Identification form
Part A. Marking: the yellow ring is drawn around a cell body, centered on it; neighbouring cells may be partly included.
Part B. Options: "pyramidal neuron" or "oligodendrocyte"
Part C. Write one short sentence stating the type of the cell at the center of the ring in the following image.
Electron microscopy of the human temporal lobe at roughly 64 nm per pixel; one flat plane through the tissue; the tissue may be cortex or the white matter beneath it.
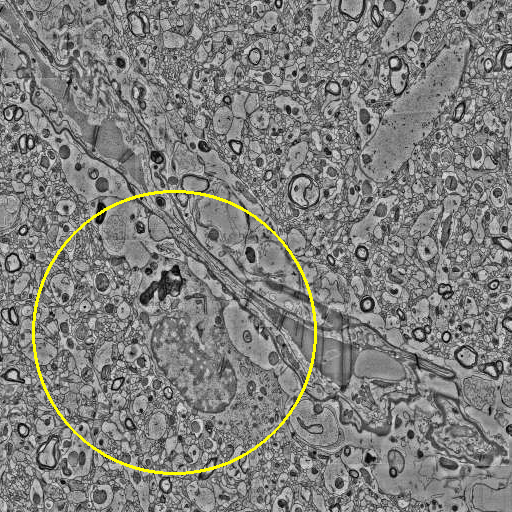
The center of the ring holds an oligodendrocyte.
